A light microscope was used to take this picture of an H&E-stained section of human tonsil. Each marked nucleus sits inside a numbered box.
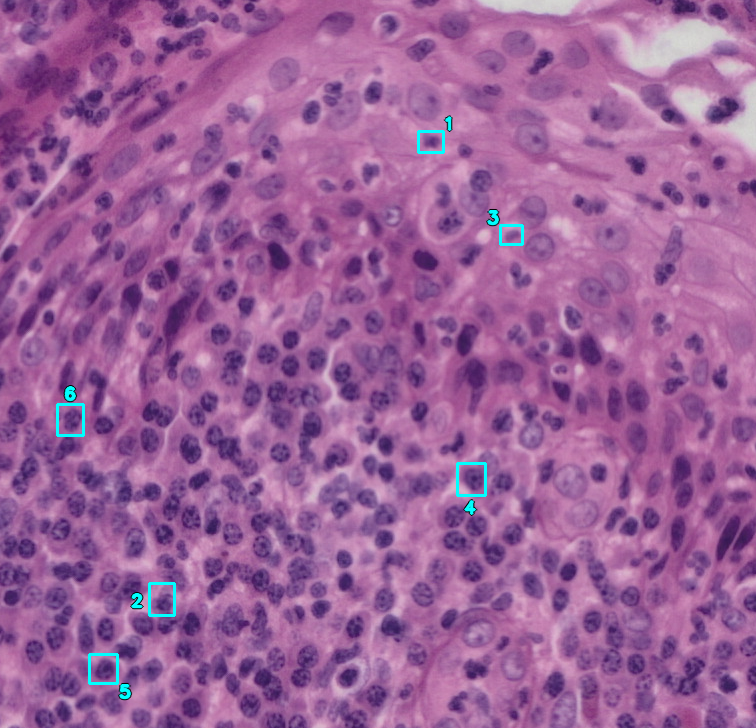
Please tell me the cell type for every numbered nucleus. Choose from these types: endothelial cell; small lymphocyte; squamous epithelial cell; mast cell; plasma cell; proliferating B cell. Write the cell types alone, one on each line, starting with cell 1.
squamous epithelial cell
plasma cell
squamous epithelial cell
plasma cell
plasma cell
plasma cell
